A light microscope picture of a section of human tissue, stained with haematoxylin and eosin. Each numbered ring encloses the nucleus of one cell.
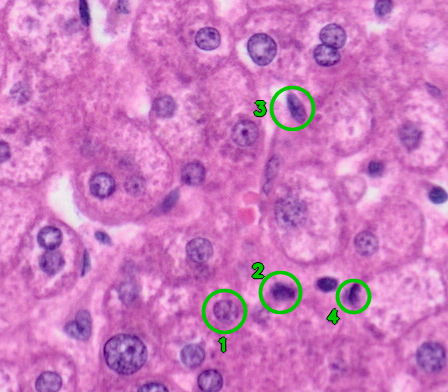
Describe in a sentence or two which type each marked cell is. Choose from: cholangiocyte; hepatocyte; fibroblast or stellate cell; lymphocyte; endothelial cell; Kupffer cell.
Cell 1 is a hepatocyte, cell 2 is a fibroblast or stellate cell, cell 3 is an endothelial cell and cell 4 is an endothelial cell.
